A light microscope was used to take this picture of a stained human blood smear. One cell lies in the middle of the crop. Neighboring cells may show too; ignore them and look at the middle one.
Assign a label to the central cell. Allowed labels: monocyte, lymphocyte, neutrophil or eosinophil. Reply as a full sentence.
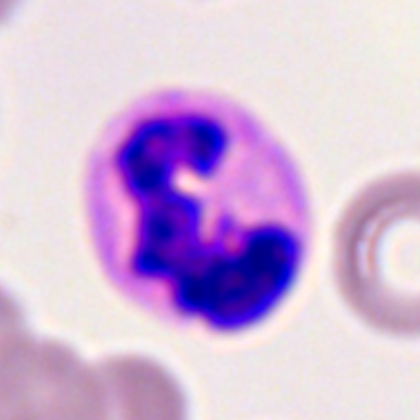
In the crop, the cell of interest at the centre is a neutrophil.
